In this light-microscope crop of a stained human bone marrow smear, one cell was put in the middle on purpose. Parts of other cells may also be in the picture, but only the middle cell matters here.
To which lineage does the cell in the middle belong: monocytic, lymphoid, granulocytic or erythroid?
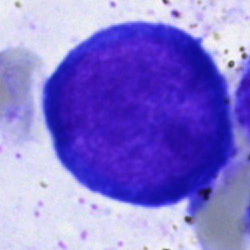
erythroid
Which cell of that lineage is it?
proerythroblast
